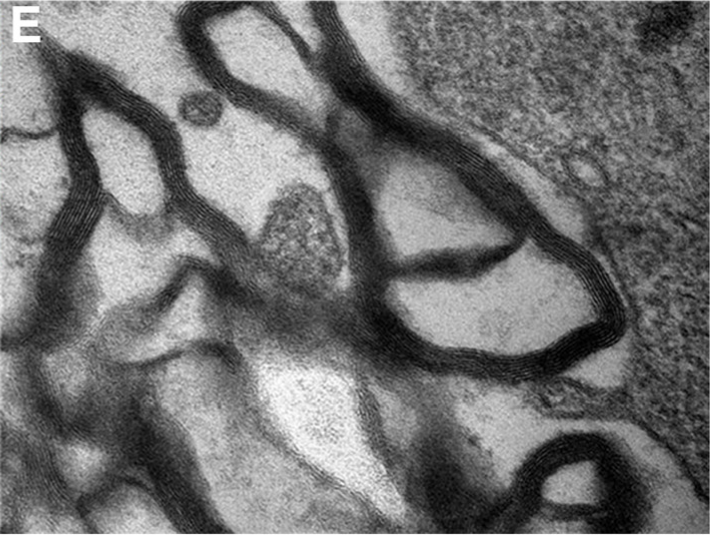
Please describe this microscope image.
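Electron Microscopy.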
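Thick dark bands curve, loop and fold on themselves across the field. Each band is made of many fine parallel lamellae stacked closely together, giving a striped look. Between the loops lie paler, finely granular spaces, and a few small rounded profiles sit among them.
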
